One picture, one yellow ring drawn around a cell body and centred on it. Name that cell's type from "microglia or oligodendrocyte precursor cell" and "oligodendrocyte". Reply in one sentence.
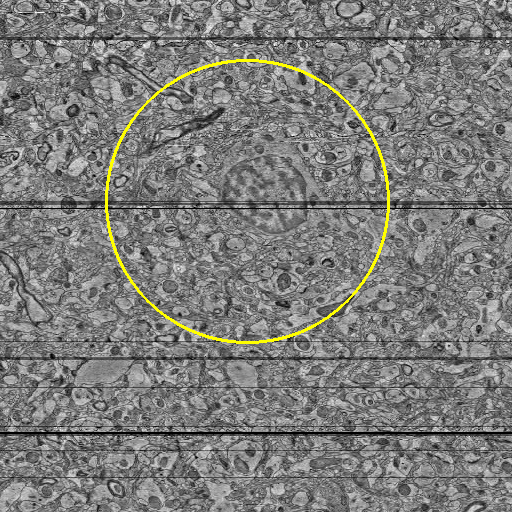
Centred in the ring is an oligodendrocyte.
